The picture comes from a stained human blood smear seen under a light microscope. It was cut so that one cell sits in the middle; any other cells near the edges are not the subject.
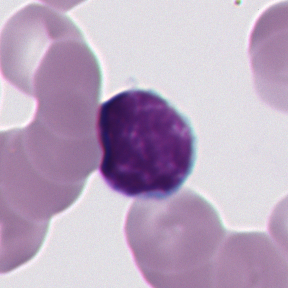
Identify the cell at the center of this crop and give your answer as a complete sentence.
The middle cell in this particular crop is a typical lymphocyte.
